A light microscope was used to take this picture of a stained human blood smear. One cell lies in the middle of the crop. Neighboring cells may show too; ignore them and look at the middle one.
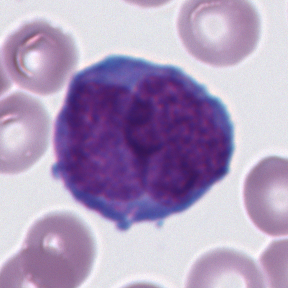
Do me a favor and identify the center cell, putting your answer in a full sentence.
Present in the middle of the crop is an atypical promyelocyte.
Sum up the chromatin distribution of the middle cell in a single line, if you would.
The chromatin here is fine and lacks any coarse clumps.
